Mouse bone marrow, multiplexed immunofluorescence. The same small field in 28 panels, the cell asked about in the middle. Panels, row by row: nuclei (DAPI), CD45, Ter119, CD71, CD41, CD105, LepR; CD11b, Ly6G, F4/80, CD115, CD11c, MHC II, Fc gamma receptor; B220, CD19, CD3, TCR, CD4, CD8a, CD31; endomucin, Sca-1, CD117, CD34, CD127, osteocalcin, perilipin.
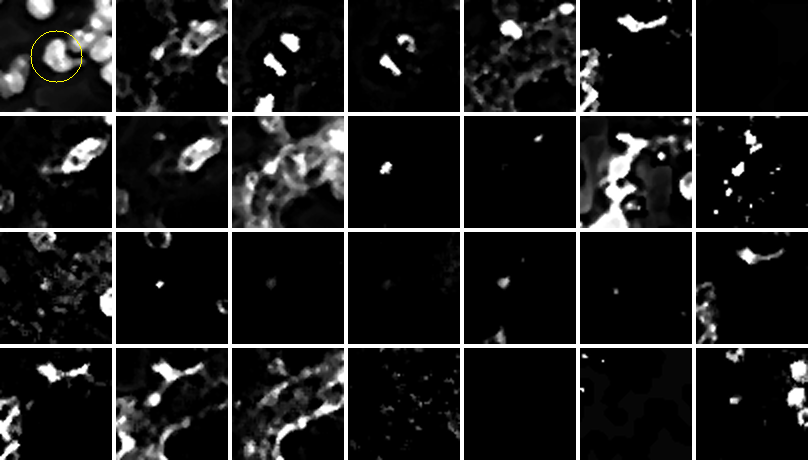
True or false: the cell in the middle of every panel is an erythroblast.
True.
